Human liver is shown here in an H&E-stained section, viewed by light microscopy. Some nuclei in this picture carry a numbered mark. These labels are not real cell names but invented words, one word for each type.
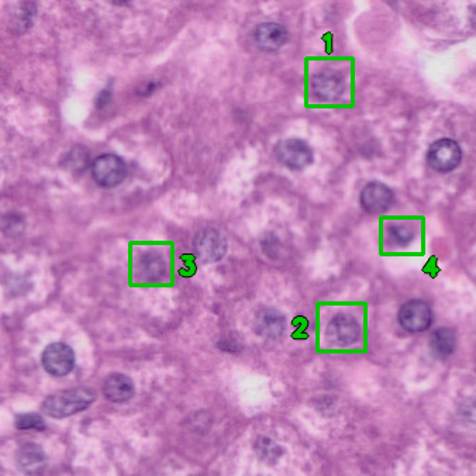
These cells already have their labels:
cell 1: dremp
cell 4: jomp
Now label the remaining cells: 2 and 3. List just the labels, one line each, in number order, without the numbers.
dremp
dremp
